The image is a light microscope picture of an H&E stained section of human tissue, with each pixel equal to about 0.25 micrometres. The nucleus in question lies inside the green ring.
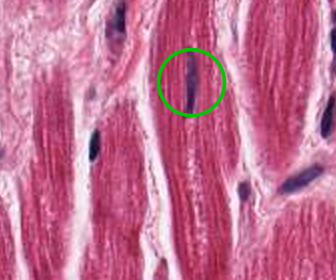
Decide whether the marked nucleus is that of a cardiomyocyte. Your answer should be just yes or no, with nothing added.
yes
